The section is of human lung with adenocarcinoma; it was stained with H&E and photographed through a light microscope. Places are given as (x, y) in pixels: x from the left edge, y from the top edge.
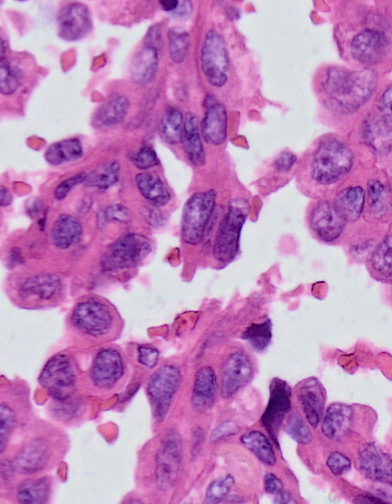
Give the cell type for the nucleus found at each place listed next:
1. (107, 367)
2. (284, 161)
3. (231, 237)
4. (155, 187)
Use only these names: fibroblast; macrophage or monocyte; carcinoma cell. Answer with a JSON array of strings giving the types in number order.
["carcinoma cell", "macrophage or monocyte", "carcinoma cell", "carcinoma cell"]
